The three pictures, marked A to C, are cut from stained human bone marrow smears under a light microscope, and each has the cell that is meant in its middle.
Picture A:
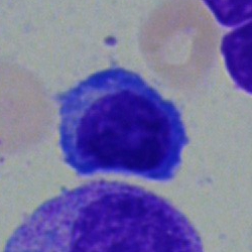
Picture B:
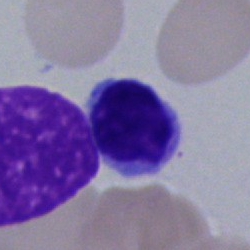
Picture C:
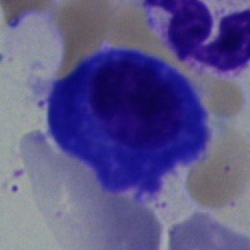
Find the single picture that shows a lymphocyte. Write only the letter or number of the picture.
B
